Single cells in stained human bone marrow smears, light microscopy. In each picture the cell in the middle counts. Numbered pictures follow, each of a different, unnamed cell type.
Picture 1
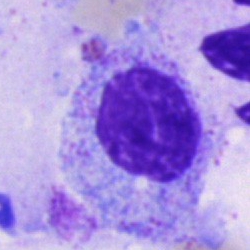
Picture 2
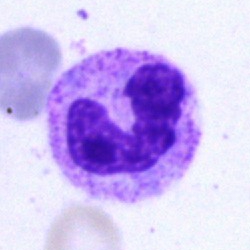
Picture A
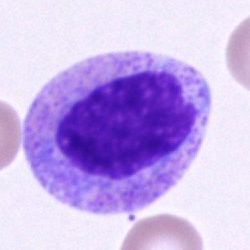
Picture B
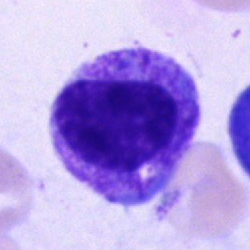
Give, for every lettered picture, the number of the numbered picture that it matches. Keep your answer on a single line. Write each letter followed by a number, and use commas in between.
A 1, B 1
